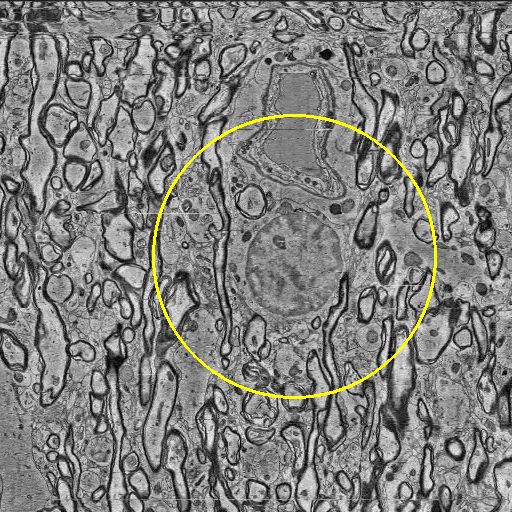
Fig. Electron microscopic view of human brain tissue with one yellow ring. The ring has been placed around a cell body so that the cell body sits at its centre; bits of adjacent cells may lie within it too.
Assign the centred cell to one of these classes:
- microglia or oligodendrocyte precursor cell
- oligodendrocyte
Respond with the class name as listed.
oligodendrocyte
